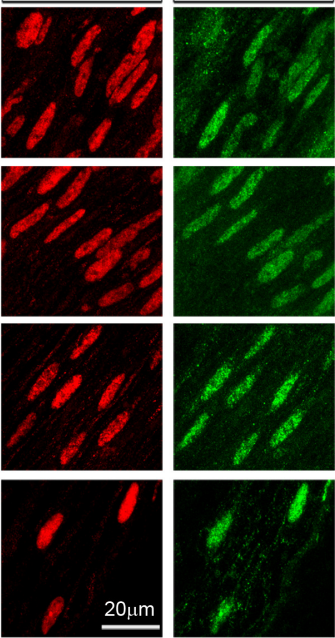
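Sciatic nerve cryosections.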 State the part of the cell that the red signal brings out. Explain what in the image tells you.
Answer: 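Nuclei. The red signal fills discrete elongated oval bodies, one per cell. The red ovals are about 10–20 µm long against the scale bar. The red ovals lie spaced apart with dark background between them.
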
